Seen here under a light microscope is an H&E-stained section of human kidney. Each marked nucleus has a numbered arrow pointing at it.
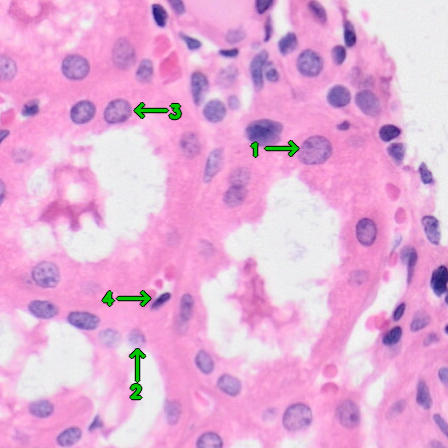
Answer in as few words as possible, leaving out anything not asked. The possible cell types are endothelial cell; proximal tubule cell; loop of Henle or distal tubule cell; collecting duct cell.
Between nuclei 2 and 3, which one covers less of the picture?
2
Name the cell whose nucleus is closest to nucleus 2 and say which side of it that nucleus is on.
a loop of Henle or distal tubule cell to the left of nucleus 2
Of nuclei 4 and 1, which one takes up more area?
1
